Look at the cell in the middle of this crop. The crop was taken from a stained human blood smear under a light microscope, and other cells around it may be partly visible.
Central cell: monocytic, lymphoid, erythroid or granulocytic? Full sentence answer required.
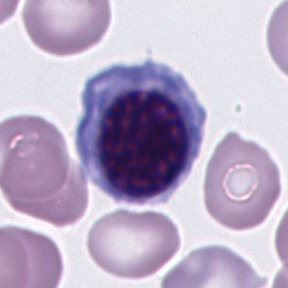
The cell at the center belongs, by lineage, to the erythroid line.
